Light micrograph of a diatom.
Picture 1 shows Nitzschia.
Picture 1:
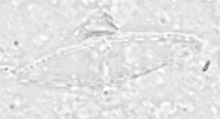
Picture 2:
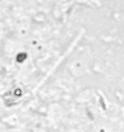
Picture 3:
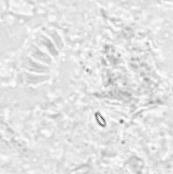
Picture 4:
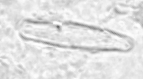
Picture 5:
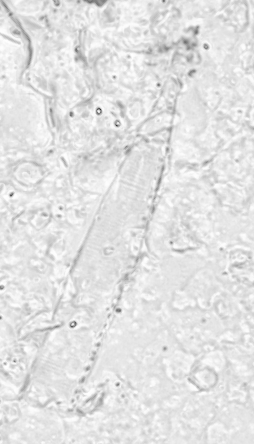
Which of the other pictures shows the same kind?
Picture 5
